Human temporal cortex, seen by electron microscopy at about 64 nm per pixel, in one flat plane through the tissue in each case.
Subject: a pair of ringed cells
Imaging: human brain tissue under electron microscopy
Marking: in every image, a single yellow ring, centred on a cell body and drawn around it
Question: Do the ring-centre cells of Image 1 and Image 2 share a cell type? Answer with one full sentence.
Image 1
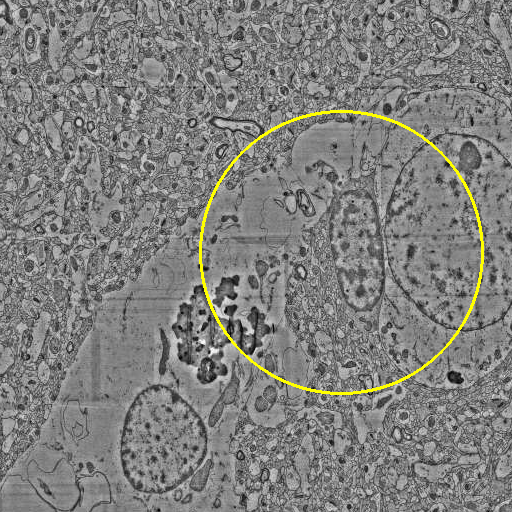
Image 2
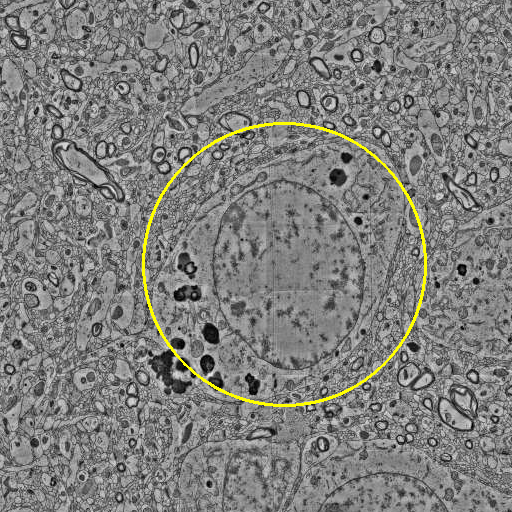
No, at the ring centres in the images sit cells of two separate types.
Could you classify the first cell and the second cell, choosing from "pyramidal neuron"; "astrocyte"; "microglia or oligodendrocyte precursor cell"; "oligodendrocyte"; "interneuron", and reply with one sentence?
The second cell is a pyramidal neuron, while the first is an oligodendrocyte.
